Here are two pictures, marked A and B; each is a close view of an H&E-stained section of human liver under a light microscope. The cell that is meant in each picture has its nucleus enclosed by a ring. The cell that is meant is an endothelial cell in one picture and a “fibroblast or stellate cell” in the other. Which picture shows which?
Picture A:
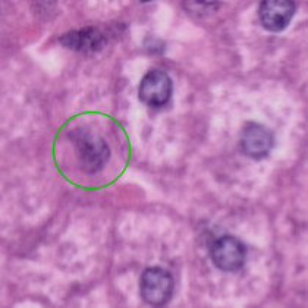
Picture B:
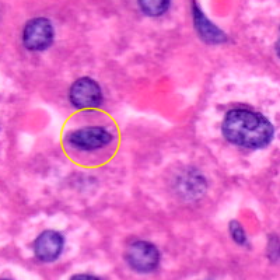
A: endothelial cell
B: fibroblast or stellate cell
